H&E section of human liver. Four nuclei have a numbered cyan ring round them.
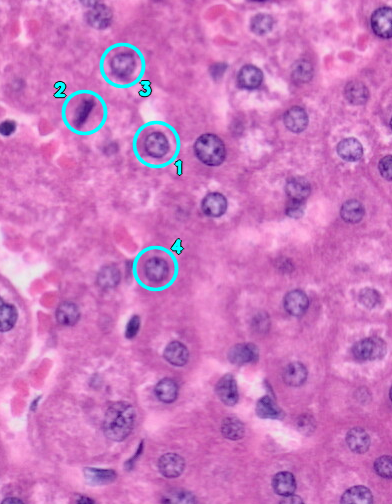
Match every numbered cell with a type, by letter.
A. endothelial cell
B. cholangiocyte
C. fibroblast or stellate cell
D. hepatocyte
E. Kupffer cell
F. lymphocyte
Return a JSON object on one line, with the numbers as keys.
{"1": "D", "2": "C", "3": "D", "4": "D"}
